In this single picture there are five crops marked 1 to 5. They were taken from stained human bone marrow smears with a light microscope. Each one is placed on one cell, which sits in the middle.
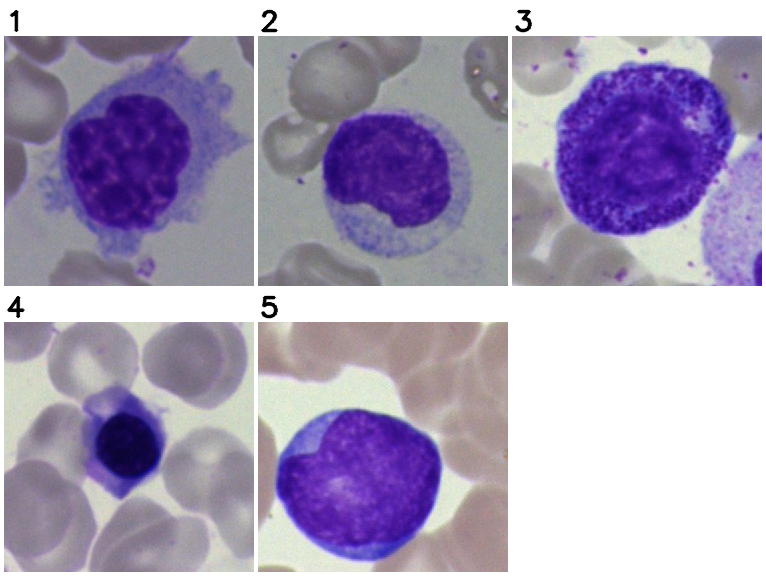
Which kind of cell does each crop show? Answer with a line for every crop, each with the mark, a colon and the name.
1: hairy cell
2: metamyelocyte
3: myelocyte
4: normoblast
5: blast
